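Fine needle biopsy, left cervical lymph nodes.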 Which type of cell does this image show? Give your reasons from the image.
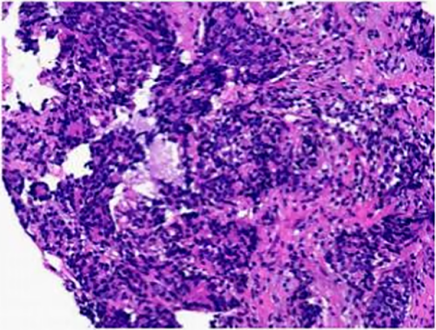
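Cancer cells. Crowded sheets and nests of cells with dark, purple nuclei. Cell borders are hard to make out between neighbouring cells. Clusters are separated by strands of pink stroma.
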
